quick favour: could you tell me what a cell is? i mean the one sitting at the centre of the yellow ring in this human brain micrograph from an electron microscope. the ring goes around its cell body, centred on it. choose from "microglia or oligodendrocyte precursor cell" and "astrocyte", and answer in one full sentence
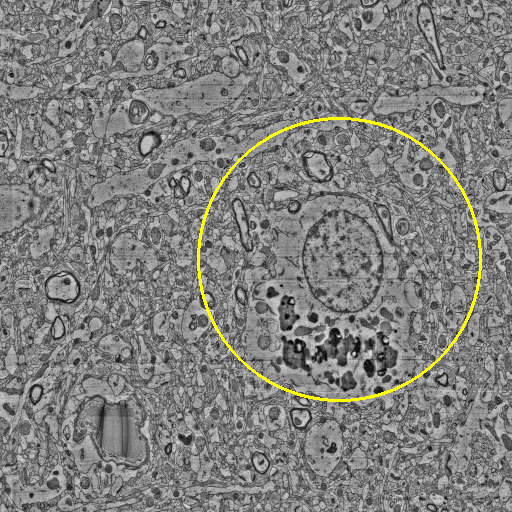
That's an astrocyte, the cell sitting at the centre of the yellow ring.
